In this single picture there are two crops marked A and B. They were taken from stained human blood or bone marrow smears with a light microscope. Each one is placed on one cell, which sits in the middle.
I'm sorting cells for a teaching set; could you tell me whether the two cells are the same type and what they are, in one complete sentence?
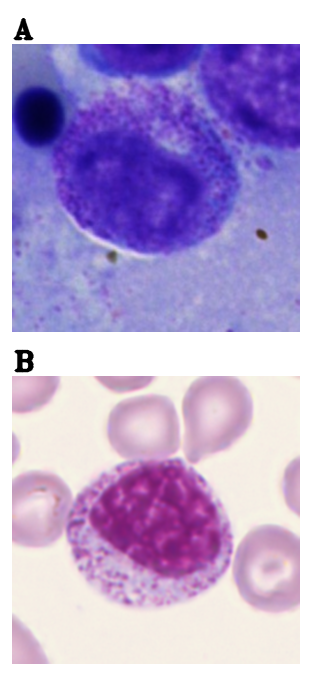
No, in crop A there is a myelocyte, and in crop B there is a metamyelocyte.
